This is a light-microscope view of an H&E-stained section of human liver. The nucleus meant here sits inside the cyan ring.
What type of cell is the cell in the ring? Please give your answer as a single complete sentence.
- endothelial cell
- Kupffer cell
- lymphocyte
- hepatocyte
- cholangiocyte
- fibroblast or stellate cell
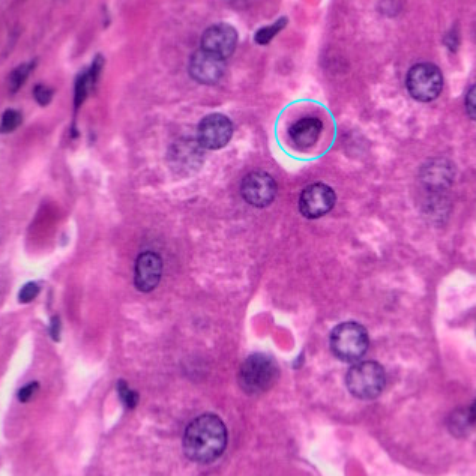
Labelled by cell type, the cell in the ring is a Kupffer cell.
